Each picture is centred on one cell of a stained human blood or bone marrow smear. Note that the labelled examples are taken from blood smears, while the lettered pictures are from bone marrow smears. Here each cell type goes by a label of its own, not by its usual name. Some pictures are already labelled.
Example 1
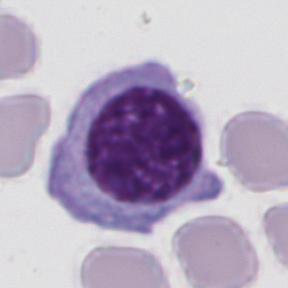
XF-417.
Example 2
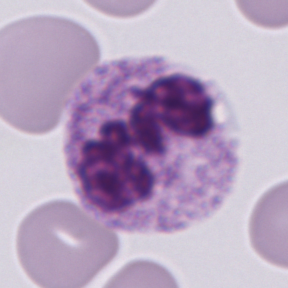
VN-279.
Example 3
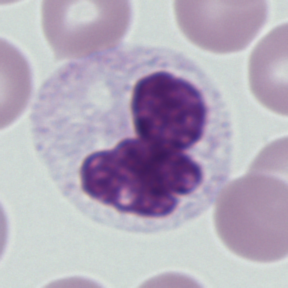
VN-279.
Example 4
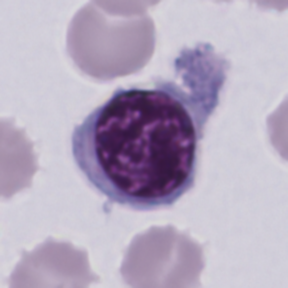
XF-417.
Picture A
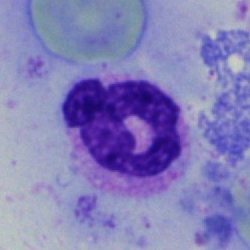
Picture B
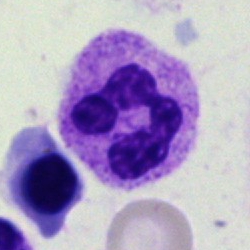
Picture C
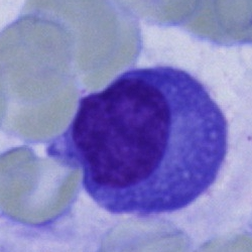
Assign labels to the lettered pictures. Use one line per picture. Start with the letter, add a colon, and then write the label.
A: VN-279.
B: VN-279.
C: XF-417.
